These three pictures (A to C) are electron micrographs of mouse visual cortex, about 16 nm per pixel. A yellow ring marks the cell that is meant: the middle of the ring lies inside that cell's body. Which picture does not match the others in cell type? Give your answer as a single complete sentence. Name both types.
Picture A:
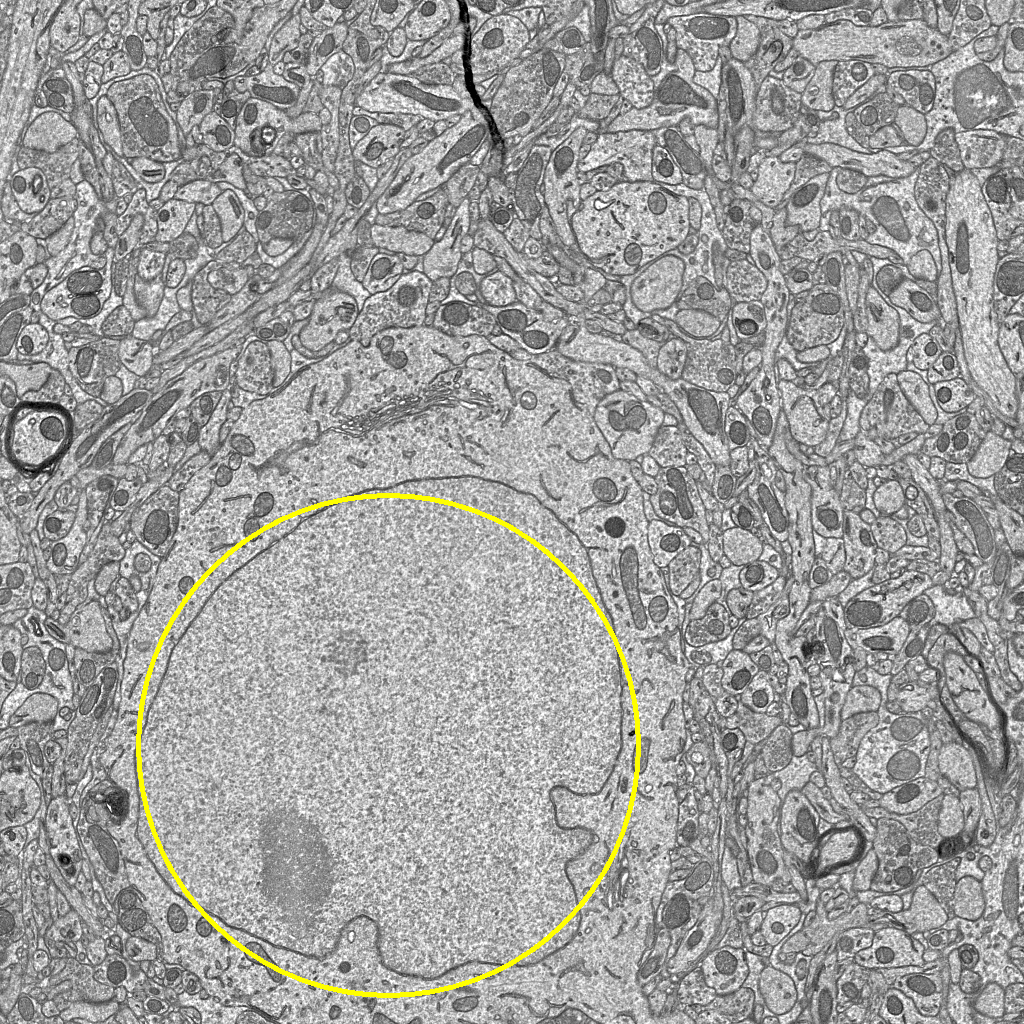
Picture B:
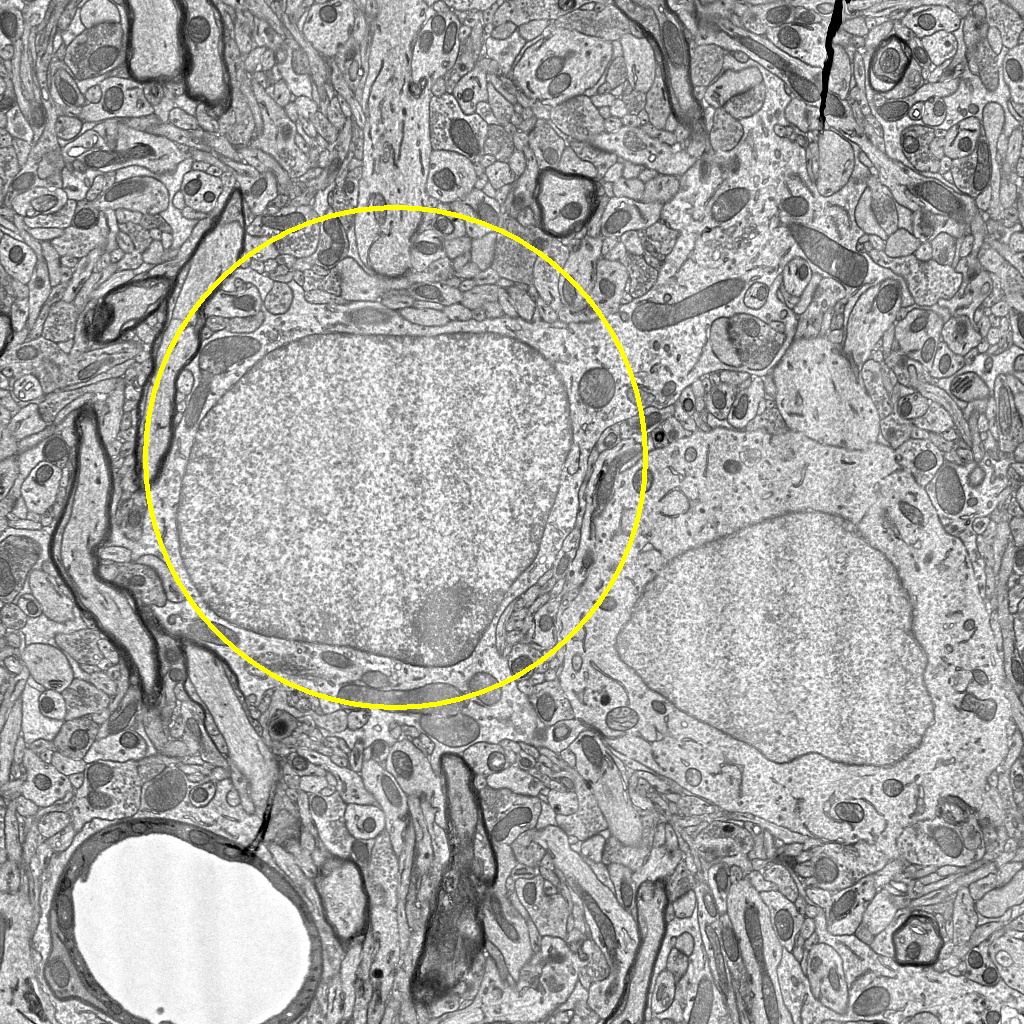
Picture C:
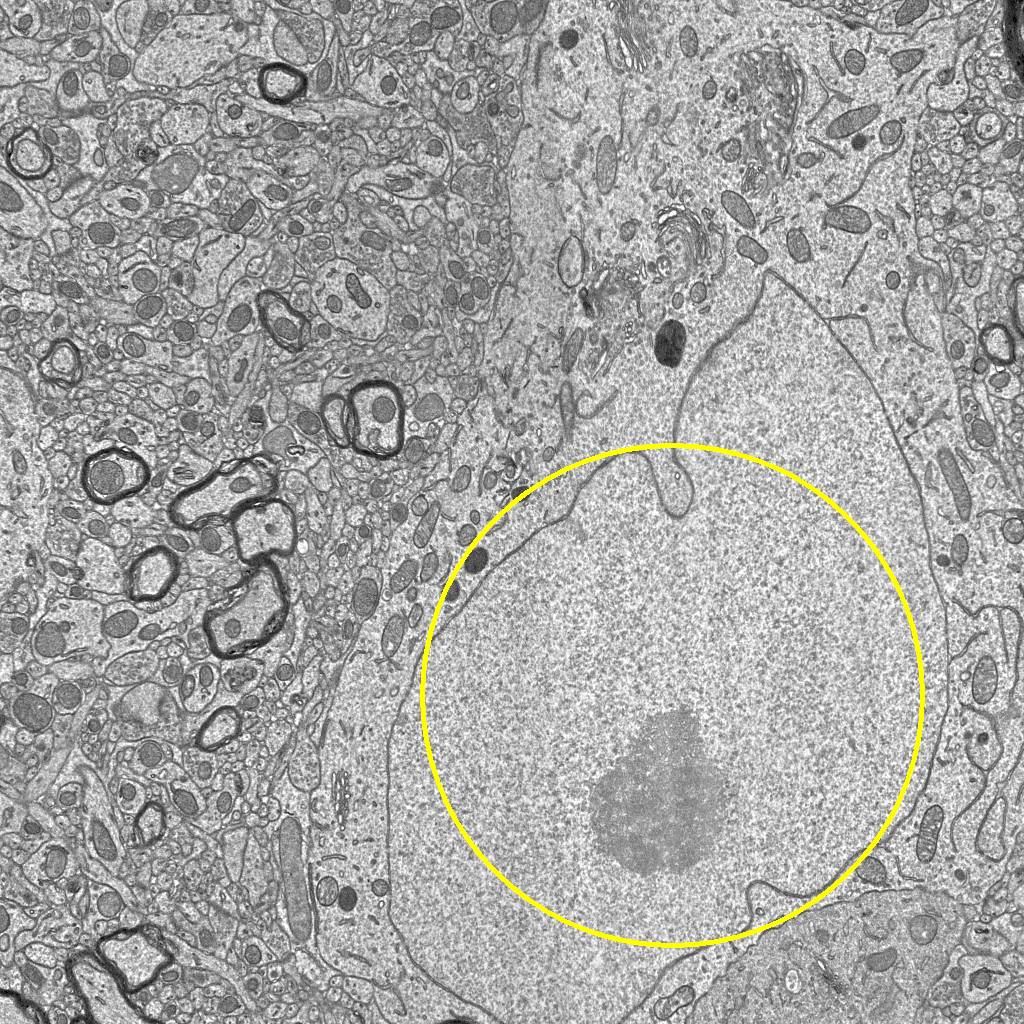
Picture B is the odd one out: it shows an astrocyte, while the others show excitatory neurons.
